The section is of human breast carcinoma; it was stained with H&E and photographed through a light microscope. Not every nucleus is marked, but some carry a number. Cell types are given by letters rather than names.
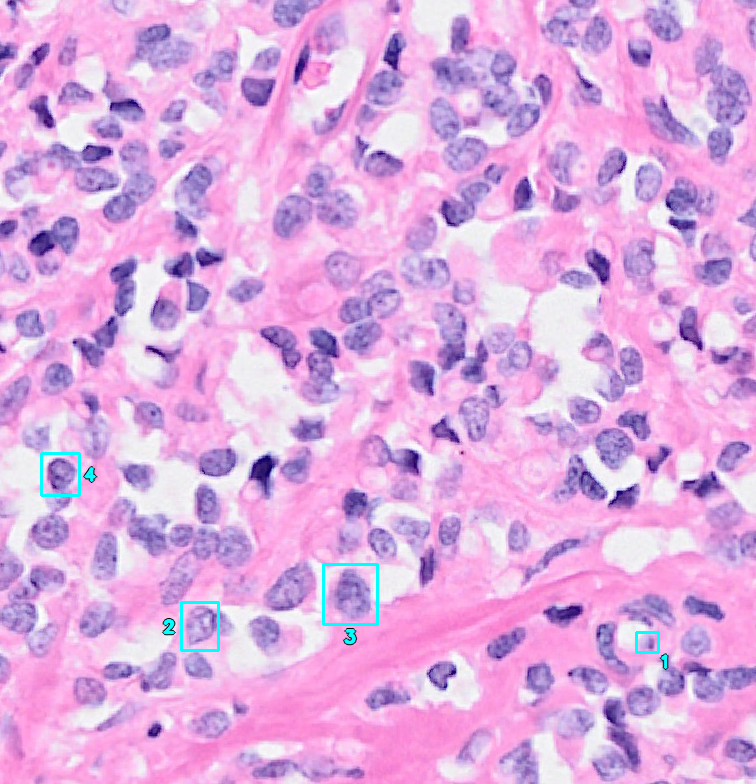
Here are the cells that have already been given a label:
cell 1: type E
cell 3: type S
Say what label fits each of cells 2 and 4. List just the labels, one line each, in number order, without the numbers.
type S
type S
